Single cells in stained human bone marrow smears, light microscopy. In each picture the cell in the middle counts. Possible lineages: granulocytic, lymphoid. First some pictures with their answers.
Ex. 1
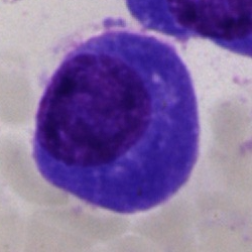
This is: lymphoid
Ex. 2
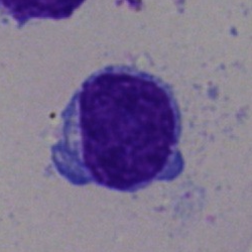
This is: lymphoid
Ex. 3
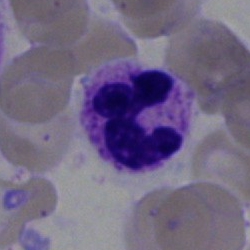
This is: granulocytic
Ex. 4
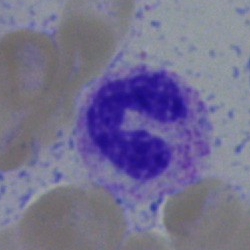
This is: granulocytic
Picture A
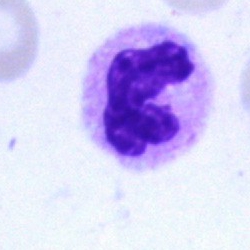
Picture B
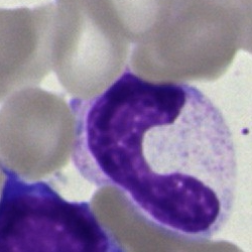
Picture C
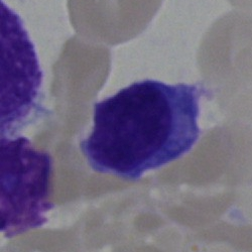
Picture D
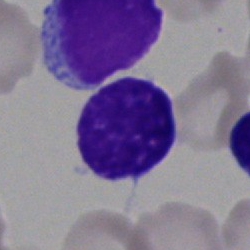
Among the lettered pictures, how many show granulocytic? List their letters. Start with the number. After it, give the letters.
2: A, B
